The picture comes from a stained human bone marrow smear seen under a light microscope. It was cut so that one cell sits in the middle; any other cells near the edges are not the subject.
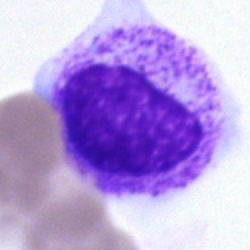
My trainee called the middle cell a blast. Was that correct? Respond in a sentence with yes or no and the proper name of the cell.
No, what is centred in the crop is not a blast but a myelocyte.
